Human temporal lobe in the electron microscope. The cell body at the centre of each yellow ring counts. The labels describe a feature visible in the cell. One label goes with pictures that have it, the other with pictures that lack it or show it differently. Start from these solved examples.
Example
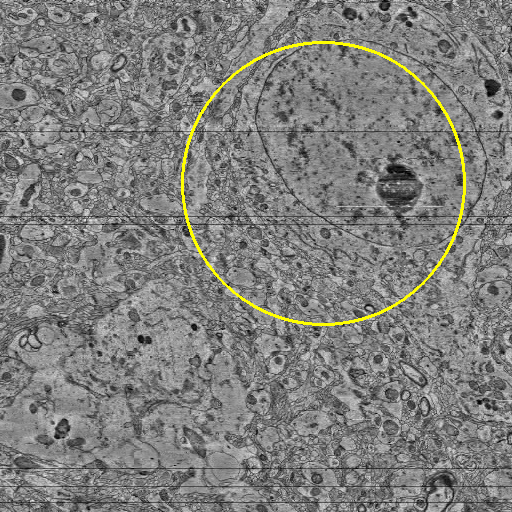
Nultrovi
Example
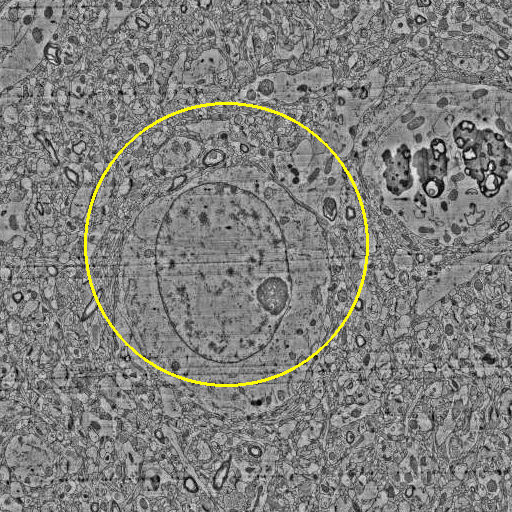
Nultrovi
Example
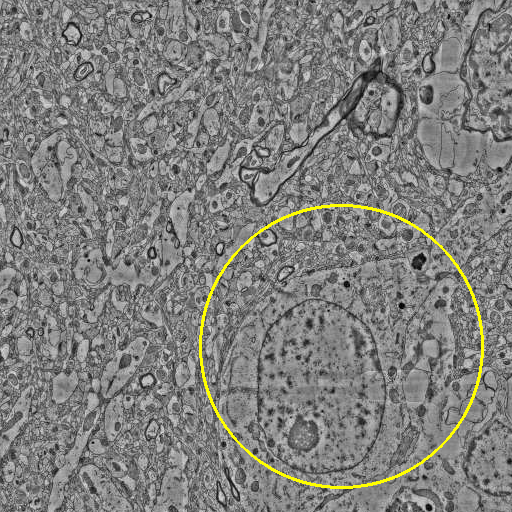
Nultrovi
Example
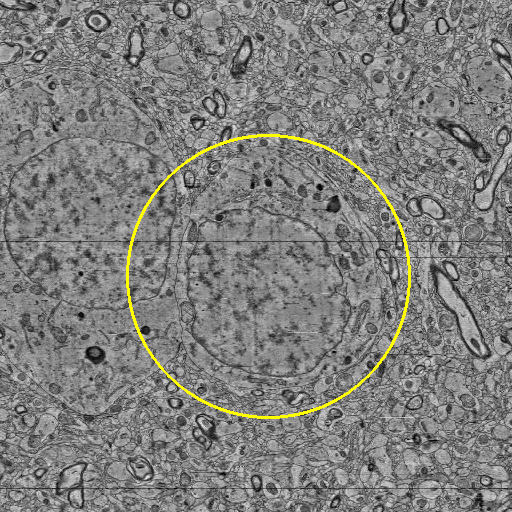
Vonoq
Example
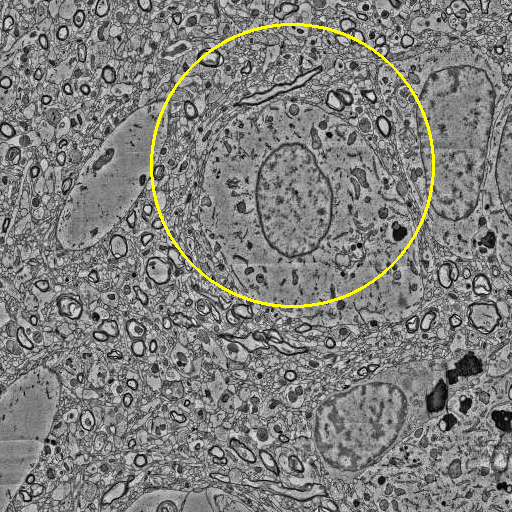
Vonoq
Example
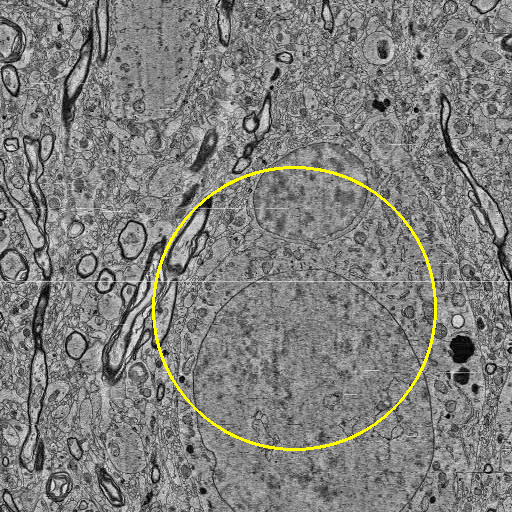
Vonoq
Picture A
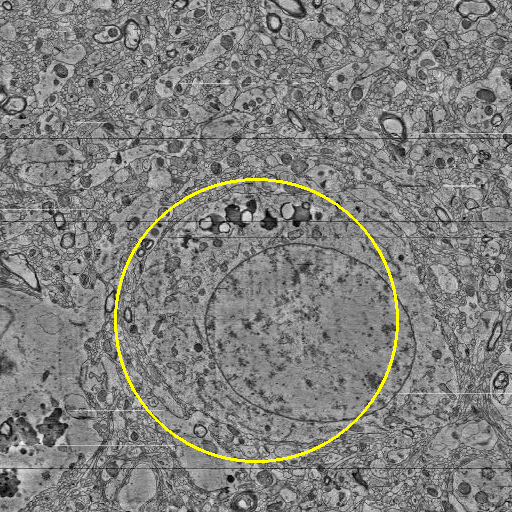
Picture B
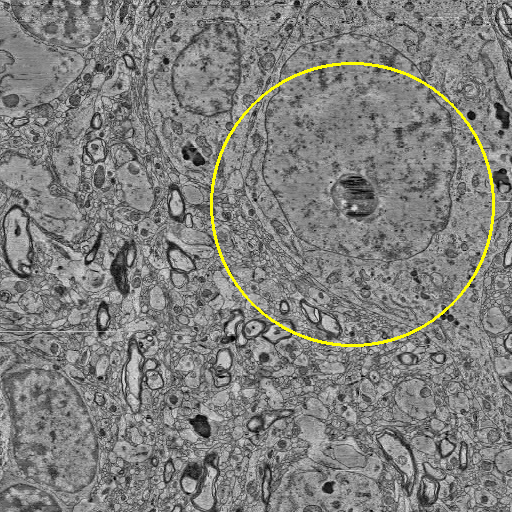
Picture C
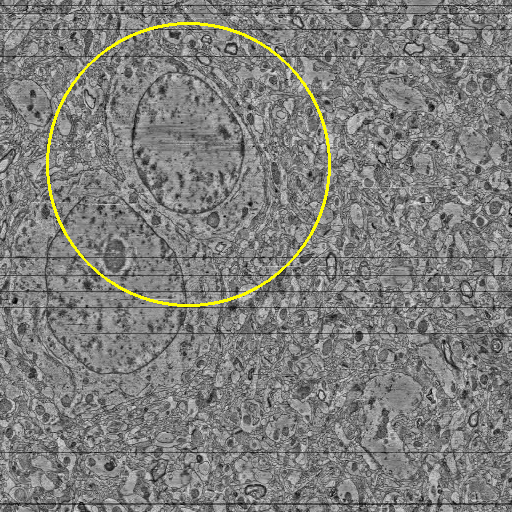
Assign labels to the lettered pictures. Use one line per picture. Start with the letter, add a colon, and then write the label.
A: Vonoq
B: Nultrovi
C: Vonoq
